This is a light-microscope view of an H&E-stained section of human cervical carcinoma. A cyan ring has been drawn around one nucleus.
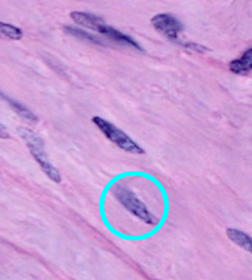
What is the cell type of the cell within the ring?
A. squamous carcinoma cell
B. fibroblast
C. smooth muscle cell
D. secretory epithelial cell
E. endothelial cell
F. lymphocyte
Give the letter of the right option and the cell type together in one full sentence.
Option B is the one that fits, as the cell within the ring is a fibroblast.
